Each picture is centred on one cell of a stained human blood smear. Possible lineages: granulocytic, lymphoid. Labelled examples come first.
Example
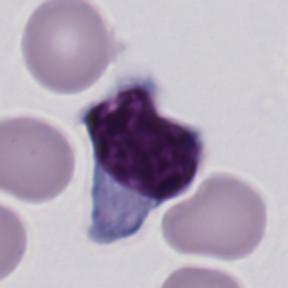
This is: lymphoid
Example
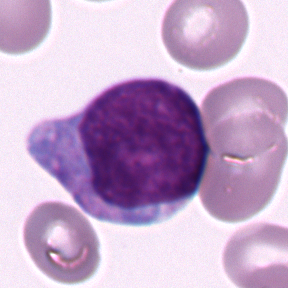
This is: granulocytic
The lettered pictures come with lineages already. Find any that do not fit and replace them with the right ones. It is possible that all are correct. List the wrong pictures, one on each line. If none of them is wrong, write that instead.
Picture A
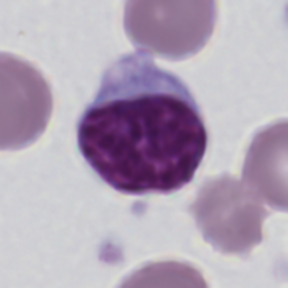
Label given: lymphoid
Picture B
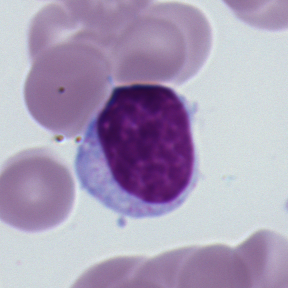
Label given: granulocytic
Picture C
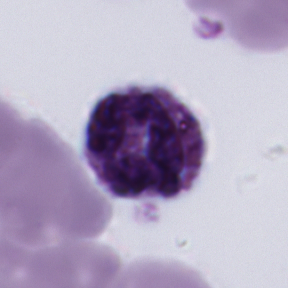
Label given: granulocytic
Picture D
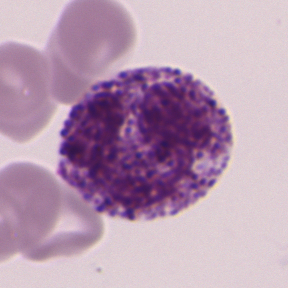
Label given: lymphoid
B: lymphoid, not granulocytic
D: granulocytic, not lymphoid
